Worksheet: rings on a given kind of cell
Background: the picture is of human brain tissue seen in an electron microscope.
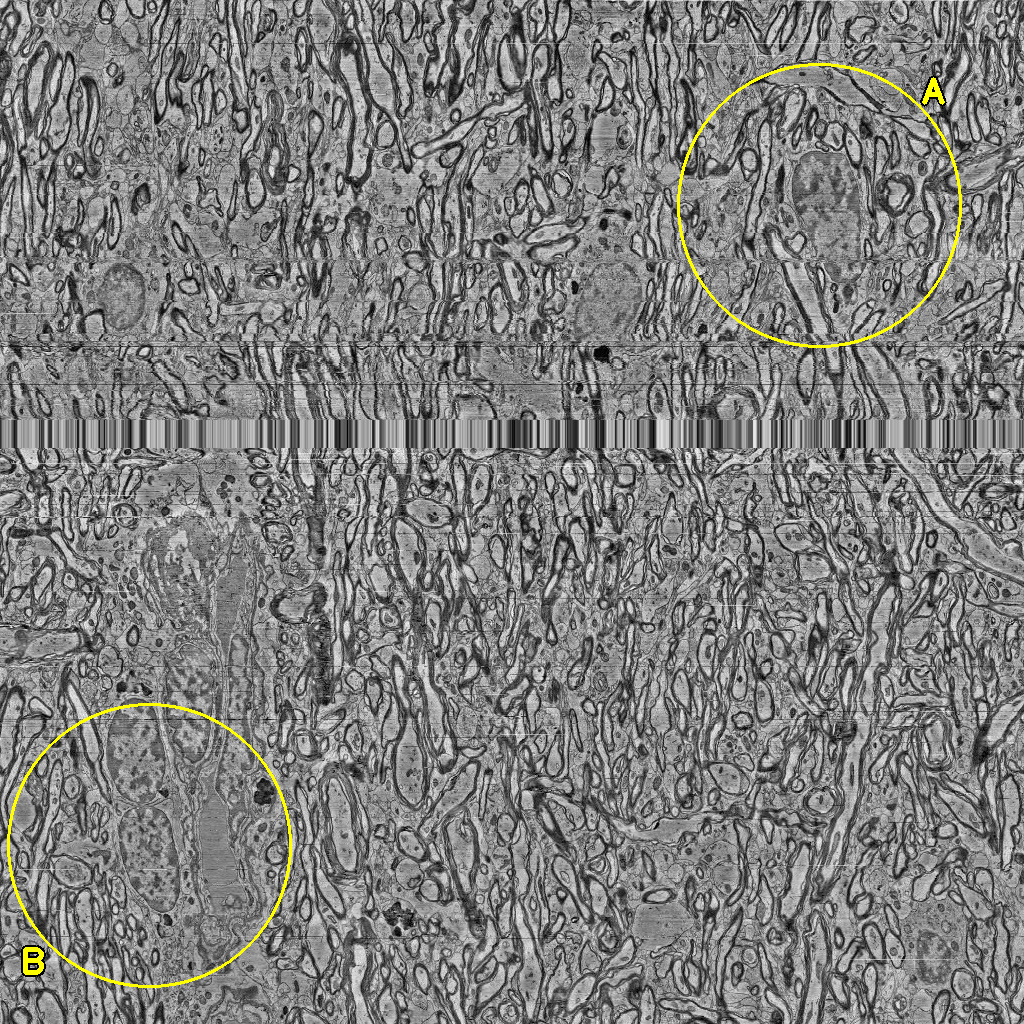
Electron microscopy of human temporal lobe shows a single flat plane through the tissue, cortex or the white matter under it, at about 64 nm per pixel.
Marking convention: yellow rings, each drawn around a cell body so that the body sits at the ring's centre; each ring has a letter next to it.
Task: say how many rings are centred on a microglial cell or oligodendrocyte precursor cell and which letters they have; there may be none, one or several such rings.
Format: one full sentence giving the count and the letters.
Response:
Those two rings lettered A and B are centred, each of them, on a microglial cell or oligodendrocyte precursor cell.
